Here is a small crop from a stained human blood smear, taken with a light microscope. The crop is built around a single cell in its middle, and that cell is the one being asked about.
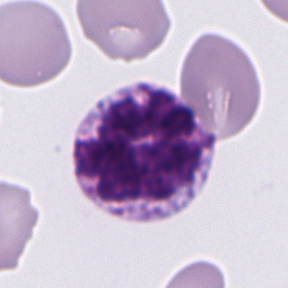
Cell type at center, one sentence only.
The cell of interest, in the center, is a basophil.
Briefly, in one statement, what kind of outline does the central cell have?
Smooth all around, the outline has no projections to report.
